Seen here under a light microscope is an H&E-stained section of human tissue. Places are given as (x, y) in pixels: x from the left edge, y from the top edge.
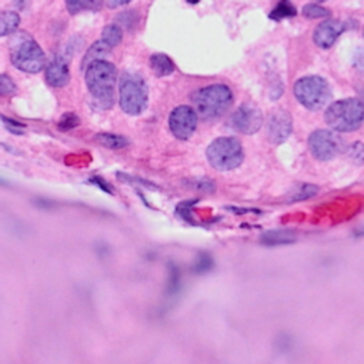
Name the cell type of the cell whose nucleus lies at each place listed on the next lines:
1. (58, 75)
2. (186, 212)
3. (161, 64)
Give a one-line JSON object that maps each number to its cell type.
{"1": "carcinoma cell", "2": "endothelial cell", "3": "carcinoma cell"}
